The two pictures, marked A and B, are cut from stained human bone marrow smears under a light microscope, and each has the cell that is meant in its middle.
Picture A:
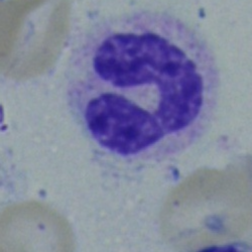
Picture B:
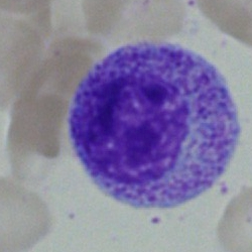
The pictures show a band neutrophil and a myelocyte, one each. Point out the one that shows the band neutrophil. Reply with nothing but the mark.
A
